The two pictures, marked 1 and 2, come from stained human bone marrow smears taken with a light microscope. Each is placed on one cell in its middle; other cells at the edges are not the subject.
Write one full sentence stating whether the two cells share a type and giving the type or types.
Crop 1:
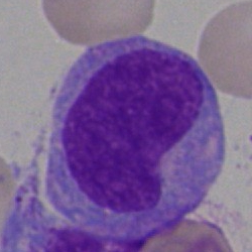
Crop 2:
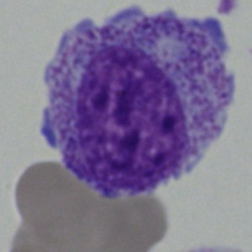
No; crop 1 is a monocyte, while crop 2 is a myelocyte.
